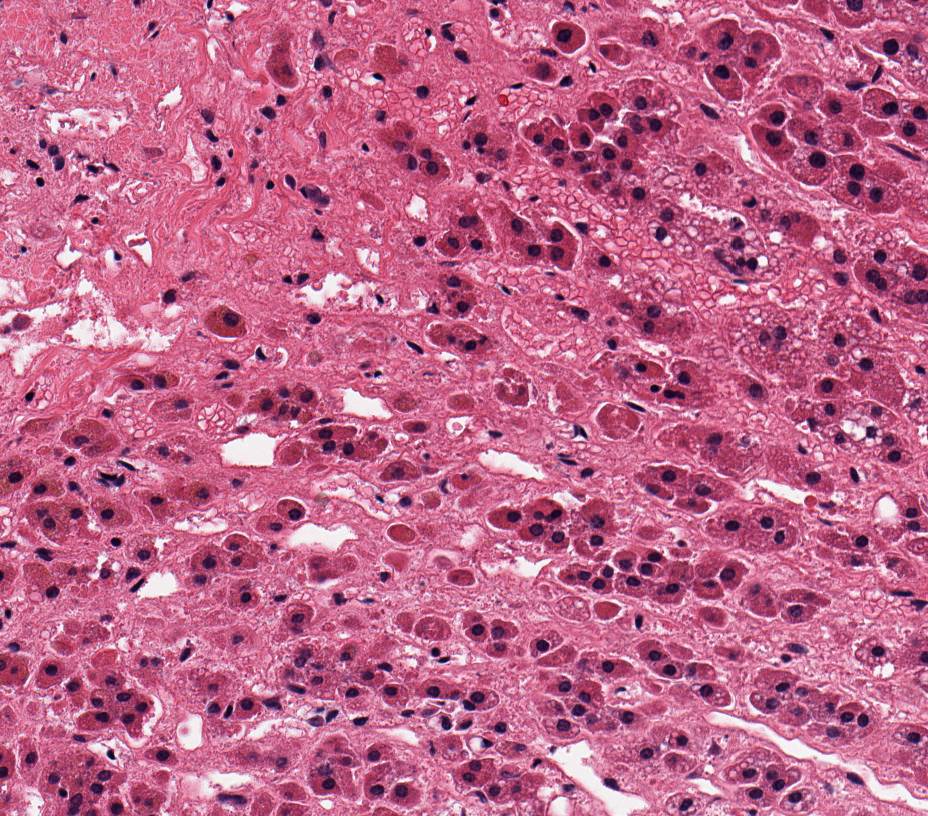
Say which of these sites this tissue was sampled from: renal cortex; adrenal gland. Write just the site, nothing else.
adrenal gland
